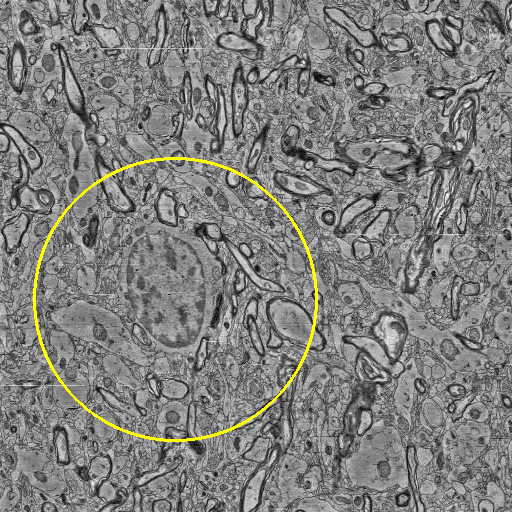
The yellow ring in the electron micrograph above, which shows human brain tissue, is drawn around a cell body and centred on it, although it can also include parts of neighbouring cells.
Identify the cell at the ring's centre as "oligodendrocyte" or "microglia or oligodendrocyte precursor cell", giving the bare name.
oligodendrocyte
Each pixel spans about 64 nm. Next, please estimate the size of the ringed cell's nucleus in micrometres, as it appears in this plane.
In this plane the nucleus measures roughly 8 by 5 micrometers.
